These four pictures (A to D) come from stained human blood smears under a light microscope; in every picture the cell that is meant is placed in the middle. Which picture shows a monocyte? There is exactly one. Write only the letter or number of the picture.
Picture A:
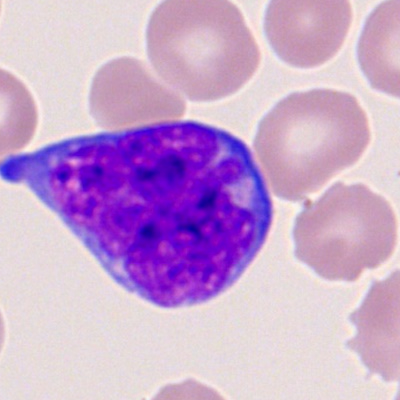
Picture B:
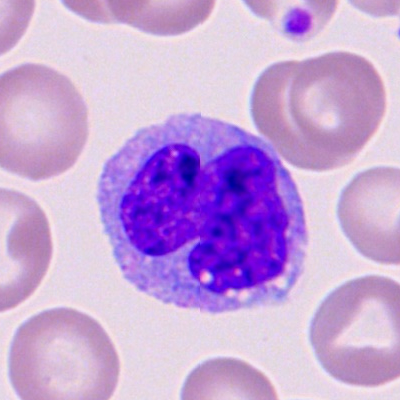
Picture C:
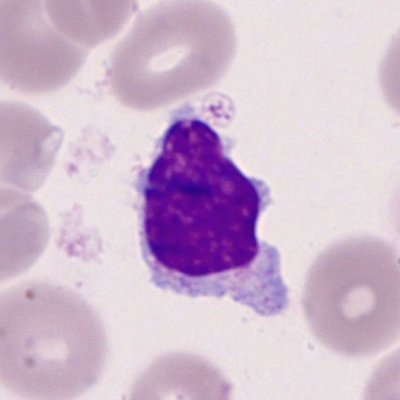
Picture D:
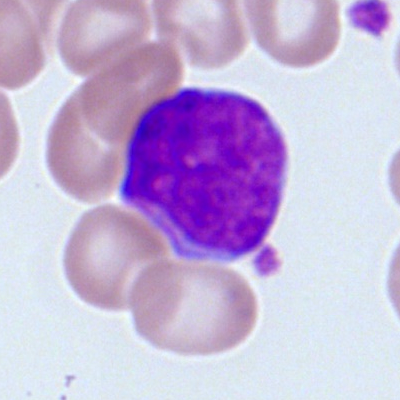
B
